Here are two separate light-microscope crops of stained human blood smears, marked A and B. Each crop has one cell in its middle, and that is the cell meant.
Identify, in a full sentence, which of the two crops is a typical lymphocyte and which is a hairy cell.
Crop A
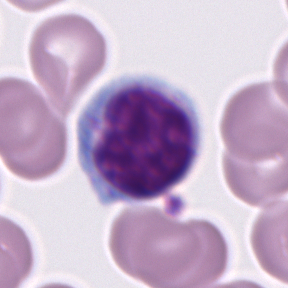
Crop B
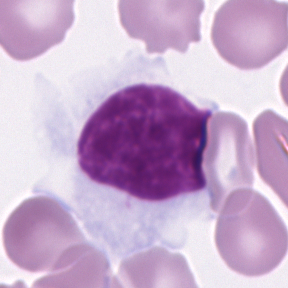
Crop A has been identified as a typical lymphocyte, and crop B has been identified as a hairy cell.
